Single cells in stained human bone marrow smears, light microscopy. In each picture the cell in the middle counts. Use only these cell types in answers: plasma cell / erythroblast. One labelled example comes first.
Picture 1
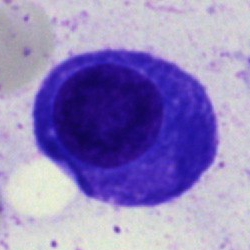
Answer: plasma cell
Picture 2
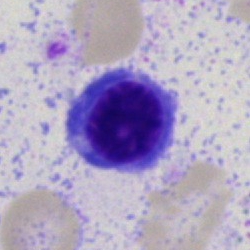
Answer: erythroblast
